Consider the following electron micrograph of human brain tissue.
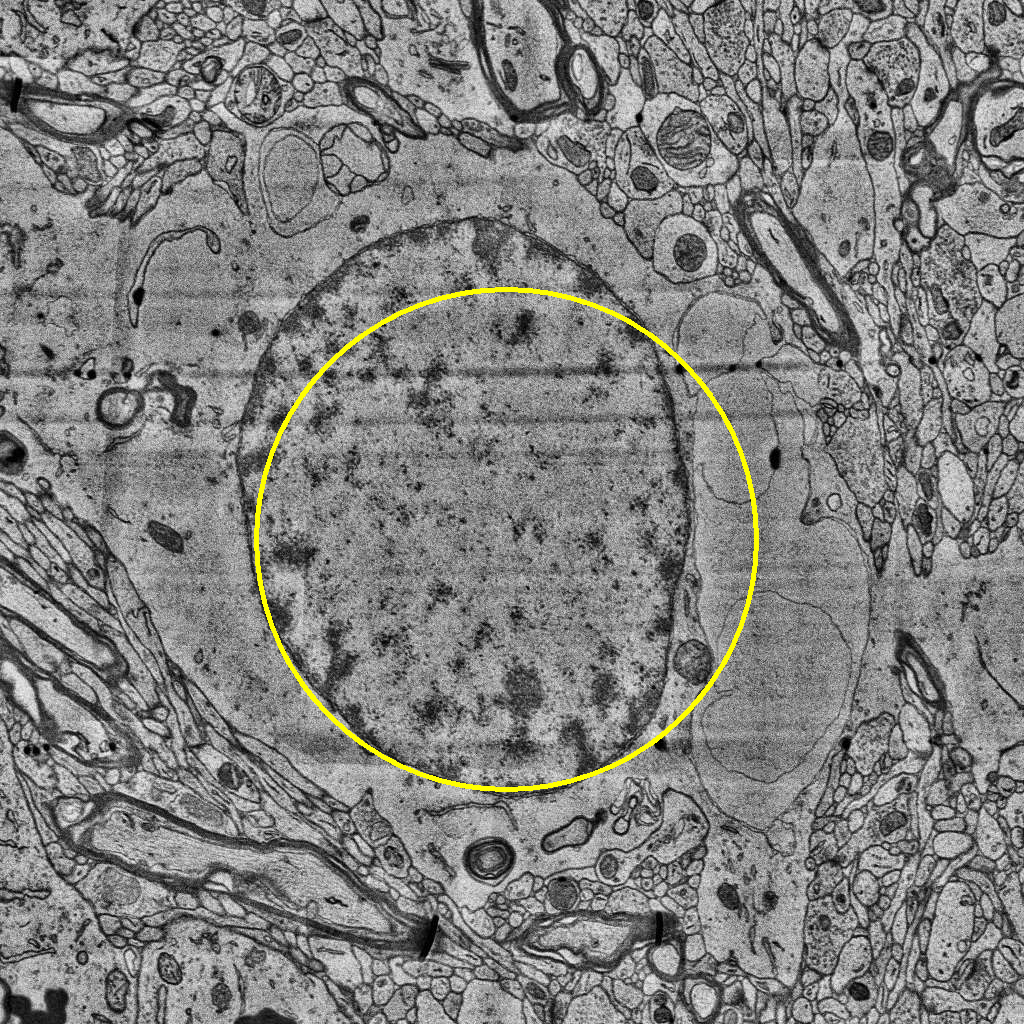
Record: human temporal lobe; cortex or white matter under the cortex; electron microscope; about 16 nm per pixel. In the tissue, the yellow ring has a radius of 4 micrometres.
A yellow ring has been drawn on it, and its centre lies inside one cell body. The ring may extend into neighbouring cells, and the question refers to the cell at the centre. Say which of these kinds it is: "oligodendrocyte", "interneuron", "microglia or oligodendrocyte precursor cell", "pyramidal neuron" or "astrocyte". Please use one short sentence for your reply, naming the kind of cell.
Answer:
The centre of the ring falls on an astrocyte.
